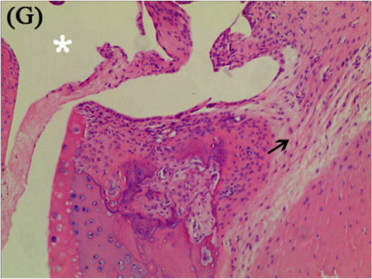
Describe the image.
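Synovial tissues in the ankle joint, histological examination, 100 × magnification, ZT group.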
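The cavity at the upper left is an empty pale space lined by thin folds of tissue. Below it, pink cartilage contains cells lying singly in small spaces. To the right, fibrous tissue holds elongated spindle-shaped cells, with scattered small cells that have dark nuclei. These darker cells are scattered rather than packed into sheets.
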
